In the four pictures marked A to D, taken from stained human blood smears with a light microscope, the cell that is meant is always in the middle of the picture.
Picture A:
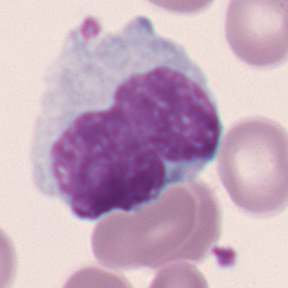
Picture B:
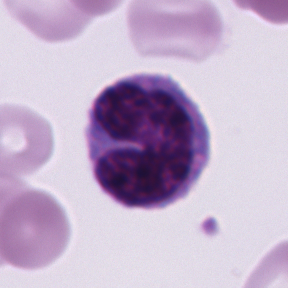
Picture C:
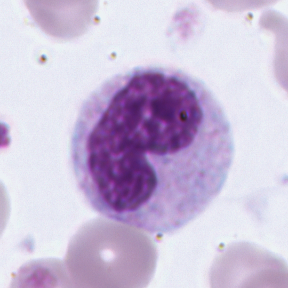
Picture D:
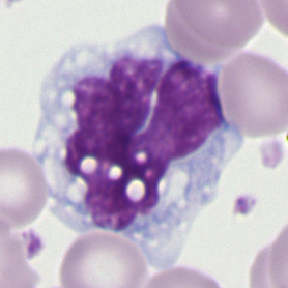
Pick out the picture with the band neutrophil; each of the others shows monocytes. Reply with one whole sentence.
It is picture C that shows the band neutrophil.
